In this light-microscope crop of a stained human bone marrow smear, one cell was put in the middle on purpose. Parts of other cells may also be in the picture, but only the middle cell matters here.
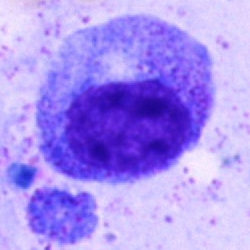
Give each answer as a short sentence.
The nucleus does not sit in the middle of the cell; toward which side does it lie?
The nucleus lies toward the bottom of the cell.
